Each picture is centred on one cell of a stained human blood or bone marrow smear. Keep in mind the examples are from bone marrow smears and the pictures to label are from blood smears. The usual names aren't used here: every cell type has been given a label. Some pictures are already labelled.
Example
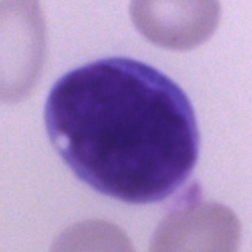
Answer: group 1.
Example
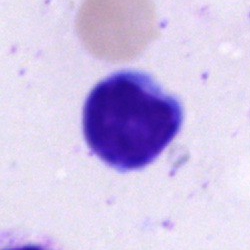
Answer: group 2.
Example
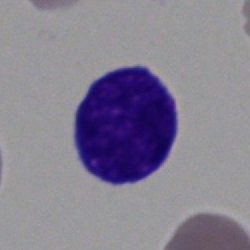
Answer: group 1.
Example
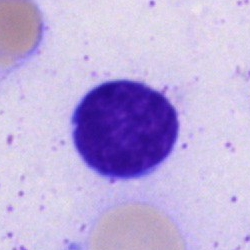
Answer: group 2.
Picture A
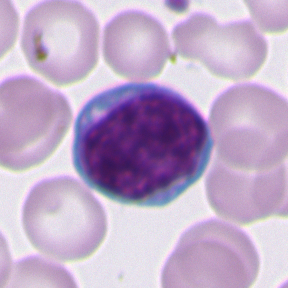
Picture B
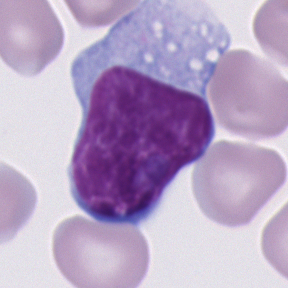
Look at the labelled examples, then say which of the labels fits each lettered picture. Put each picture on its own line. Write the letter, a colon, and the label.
A: group 2.
B: group 1.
